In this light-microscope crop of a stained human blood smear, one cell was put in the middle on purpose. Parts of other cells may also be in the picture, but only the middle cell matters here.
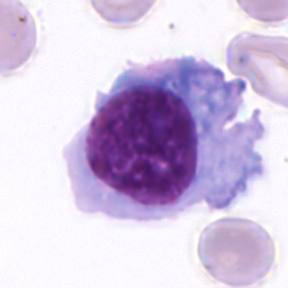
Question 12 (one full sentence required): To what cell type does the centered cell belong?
The cell that lies at the centre of the crop is a plasma cell.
